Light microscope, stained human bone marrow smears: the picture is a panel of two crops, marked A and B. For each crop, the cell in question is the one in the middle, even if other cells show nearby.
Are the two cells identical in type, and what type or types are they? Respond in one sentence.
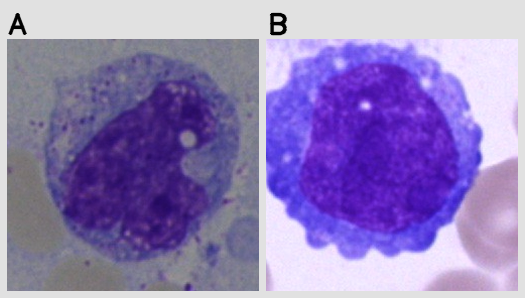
No, a monocyte lies at the centre of crop A, and a blast lies at the centre of crop B.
